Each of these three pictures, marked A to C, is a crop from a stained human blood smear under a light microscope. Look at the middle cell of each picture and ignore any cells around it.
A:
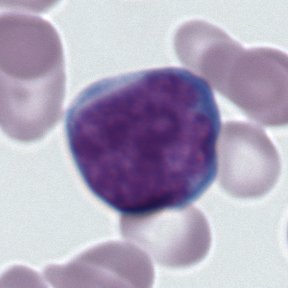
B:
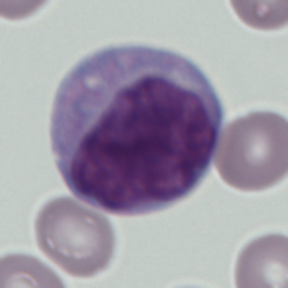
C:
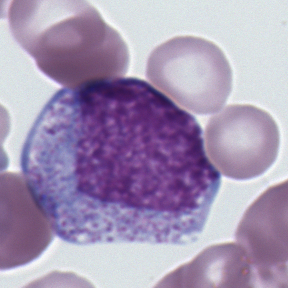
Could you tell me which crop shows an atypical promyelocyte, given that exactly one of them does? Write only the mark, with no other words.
B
